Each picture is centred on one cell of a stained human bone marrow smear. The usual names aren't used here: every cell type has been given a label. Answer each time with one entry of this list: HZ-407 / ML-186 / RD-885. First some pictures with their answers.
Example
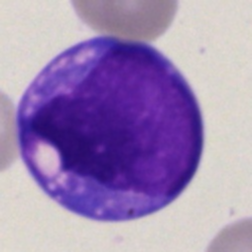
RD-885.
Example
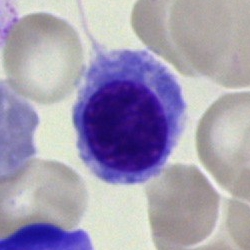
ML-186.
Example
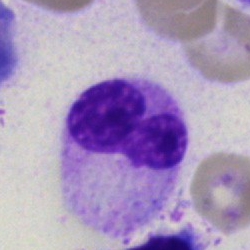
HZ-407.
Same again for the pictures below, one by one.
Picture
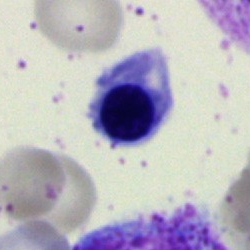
ML-186.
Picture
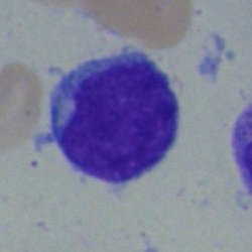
RD-885.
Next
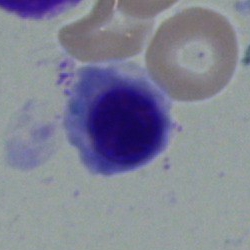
ML-186.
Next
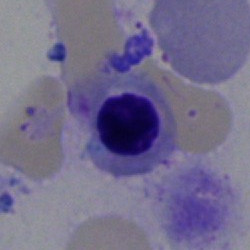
ML-186.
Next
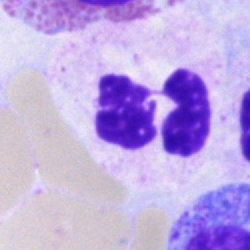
HZ-407.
